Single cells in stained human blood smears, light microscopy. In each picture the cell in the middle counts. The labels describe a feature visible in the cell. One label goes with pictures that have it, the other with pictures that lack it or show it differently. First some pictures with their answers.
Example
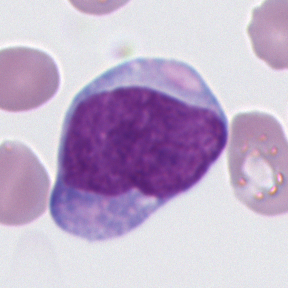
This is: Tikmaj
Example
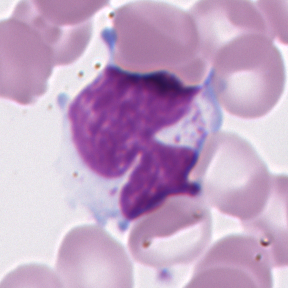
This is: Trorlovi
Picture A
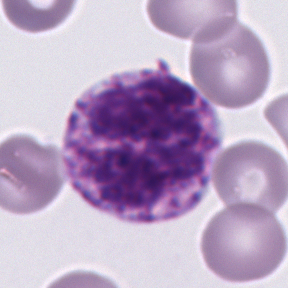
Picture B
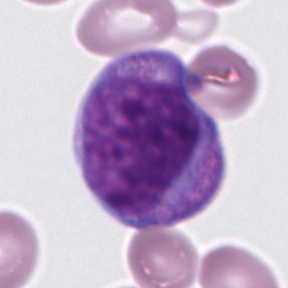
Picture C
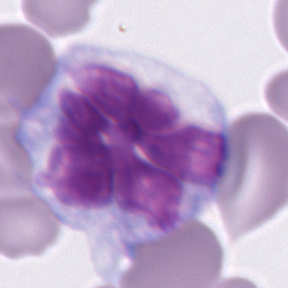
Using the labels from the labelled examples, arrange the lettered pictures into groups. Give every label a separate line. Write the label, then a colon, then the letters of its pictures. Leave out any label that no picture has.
Tikmaj: B
Trorlovi: A, C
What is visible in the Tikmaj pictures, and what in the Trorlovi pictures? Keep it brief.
Seen in Tikmaj: smooth outline; seen in Trorlovi: ragged outline or projections.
